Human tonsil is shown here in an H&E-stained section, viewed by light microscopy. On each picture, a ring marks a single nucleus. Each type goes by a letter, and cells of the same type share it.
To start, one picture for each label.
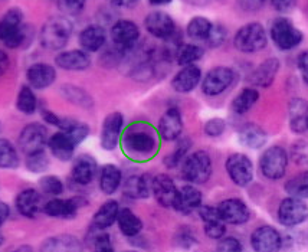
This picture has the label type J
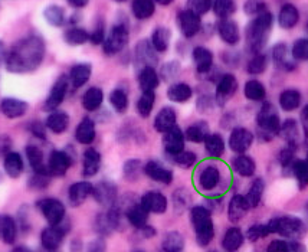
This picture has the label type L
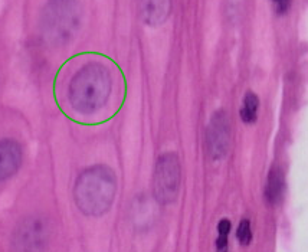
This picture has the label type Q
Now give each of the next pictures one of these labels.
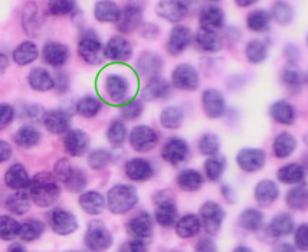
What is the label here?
type L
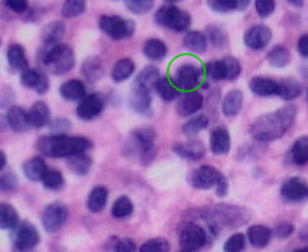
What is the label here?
type L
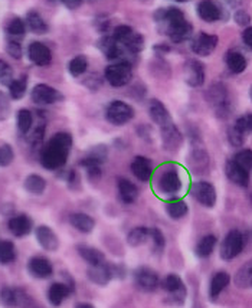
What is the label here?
type J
